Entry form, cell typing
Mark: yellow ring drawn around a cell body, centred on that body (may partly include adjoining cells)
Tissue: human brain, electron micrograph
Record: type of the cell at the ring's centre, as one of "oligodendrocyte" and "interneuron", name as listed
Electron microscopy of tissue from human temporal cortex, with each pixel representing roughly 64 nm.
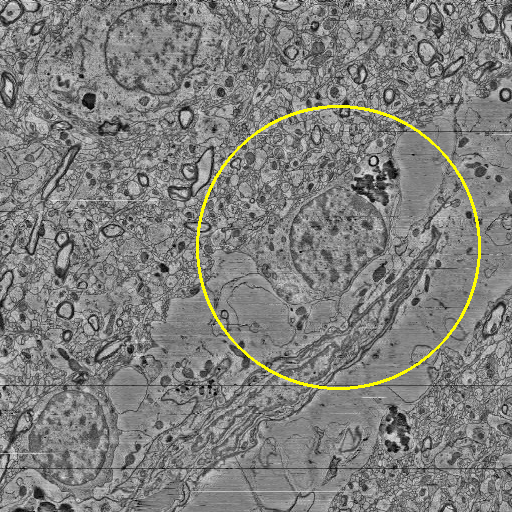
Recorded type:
oligodendrocyte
